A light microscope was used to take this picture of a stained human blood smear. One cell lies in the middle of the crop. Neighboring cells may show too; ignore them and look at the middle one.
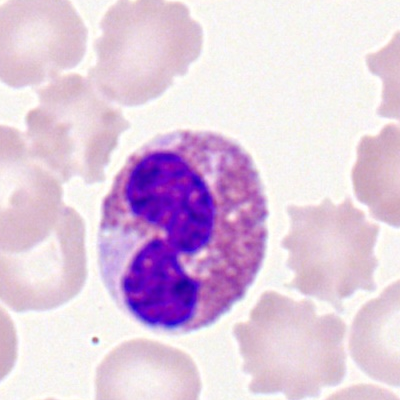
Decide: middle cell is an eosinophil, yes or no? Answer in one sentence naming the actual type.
Yes, the cell located at the center is an eosinophil.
